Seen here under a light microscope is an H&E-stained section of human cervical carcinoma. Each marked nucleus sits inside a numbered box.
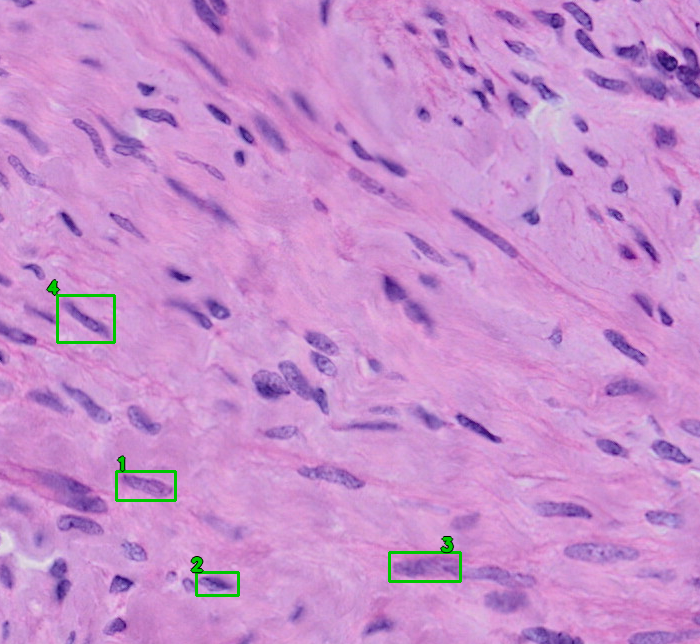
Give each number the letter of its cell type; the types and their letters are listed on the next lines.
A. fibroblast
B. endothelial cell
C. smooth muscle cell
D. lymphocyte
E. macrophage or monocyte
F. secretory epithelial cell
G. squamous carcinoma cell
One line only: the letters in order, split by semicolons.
A; A; C; A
